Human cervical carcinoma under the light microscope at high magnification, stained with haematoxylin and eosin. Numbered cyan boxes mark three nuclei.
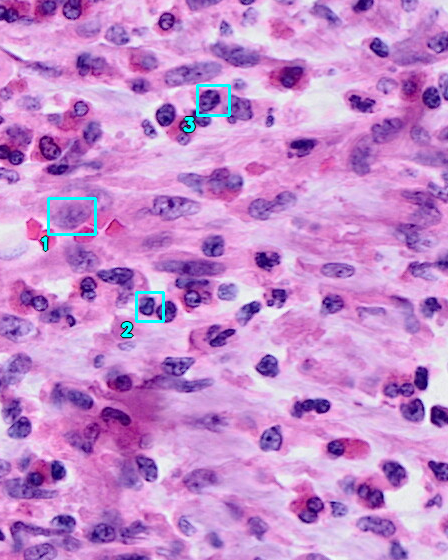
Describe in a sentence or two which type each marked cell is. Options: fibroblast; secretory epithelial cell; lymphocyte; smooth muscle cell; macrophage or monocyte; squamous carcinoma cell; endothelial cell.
Cell 1 is an endothelial cell. Cells 2 and 3 are lymphocytes.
